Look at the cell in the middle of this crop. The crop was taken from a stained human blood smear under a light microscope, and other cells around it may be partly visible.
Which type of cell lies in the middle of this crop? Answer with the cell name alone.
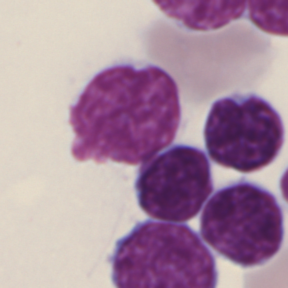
myeloblast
